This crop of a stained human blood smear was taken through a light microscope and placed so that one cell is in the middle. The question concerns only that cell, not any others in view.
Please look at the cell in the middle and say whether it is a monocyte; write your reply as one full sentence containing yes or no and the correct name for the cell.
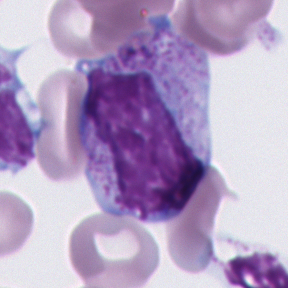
No, rather than a monocyte, the central cell is a myelocyte.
